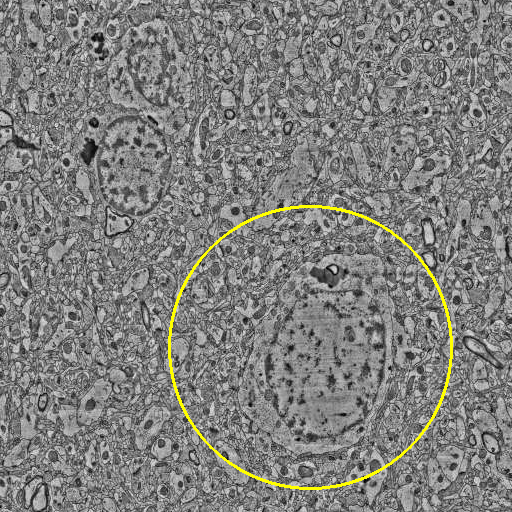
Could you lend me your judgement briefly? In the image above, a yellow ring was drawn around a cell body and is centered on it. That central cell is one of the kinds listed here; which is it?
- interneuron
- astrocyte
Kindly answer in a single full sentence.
Going by the list, an interneuron is the kind at the ring's center in the picture.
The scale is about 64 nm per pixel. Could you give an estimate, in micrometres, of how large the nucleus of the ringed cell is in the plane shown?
The nucleus measures about 10 by 7 micrometres in this plane.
